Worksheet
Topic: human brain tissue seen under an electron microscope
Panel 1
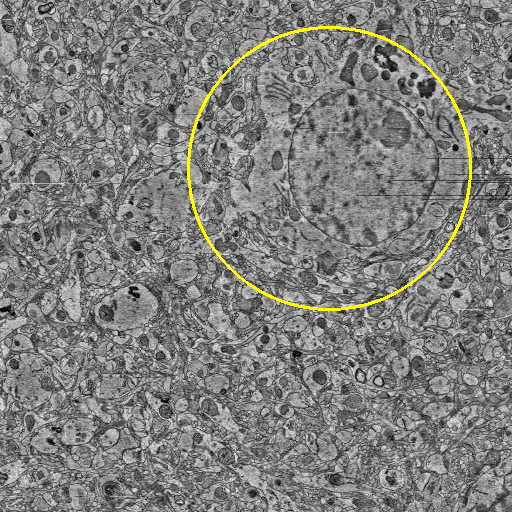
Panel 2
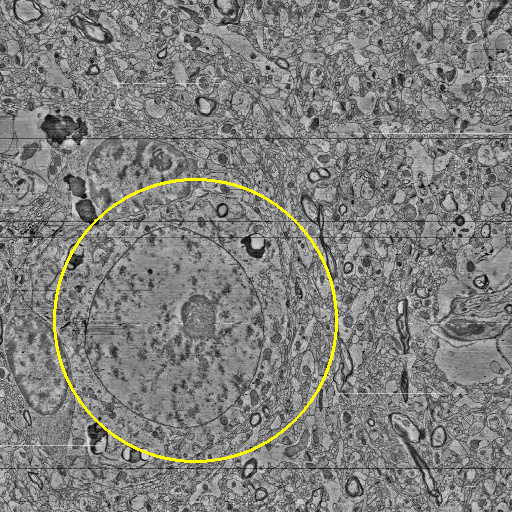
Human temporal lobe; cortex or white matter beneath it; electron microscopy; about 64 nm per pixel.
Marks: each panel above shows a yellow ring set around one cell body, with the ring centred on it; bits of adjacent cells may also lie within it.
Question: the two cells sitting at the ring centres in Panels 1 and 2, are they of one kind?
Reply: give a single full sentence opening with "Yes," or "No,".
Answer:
No, the two ring-centre cells in Panel 1 and Panel 2 are of two kinds.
